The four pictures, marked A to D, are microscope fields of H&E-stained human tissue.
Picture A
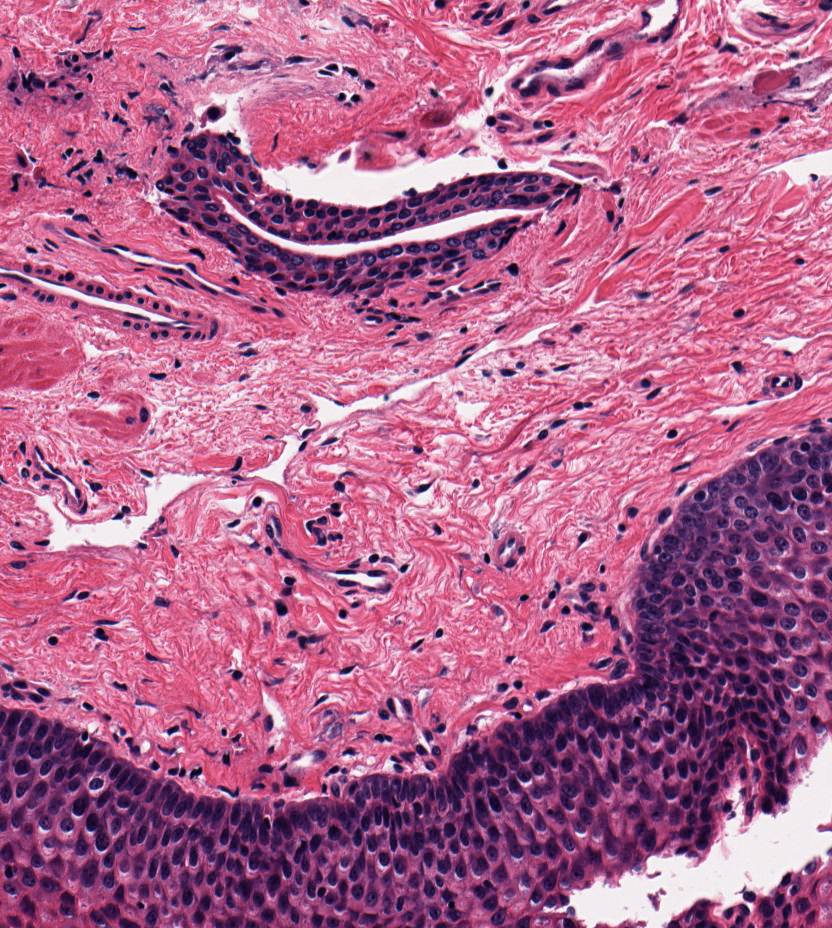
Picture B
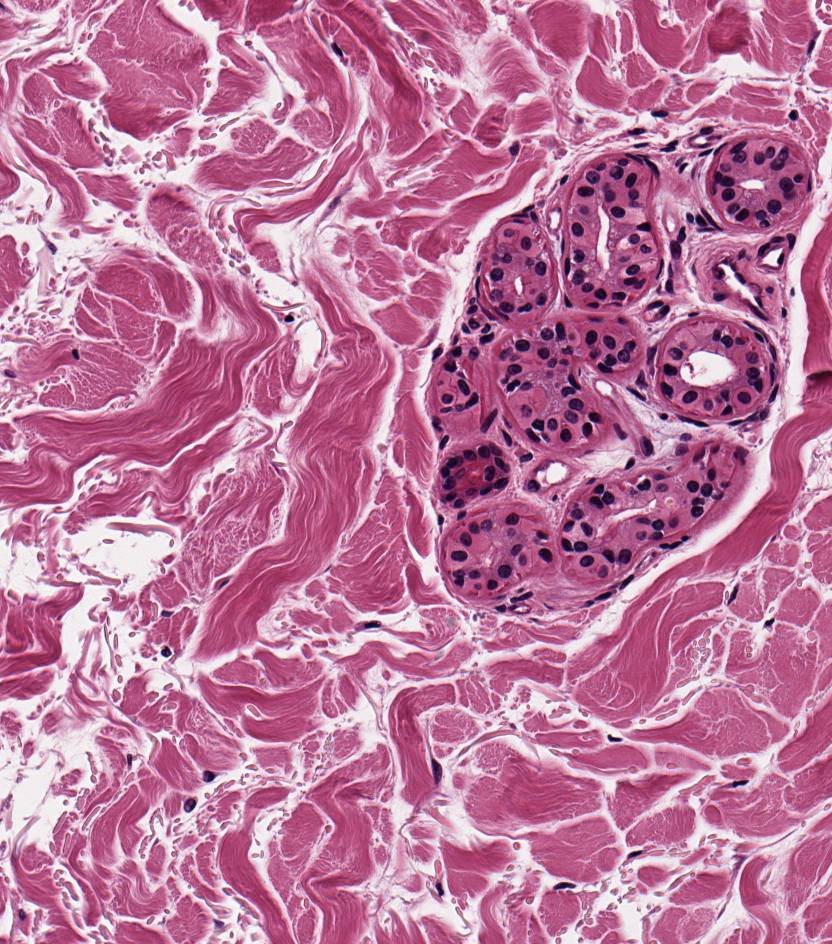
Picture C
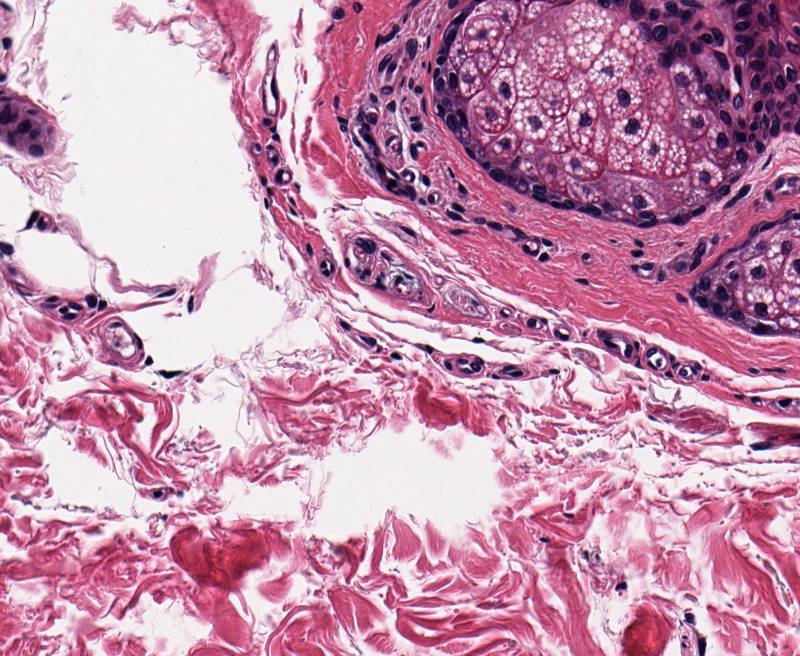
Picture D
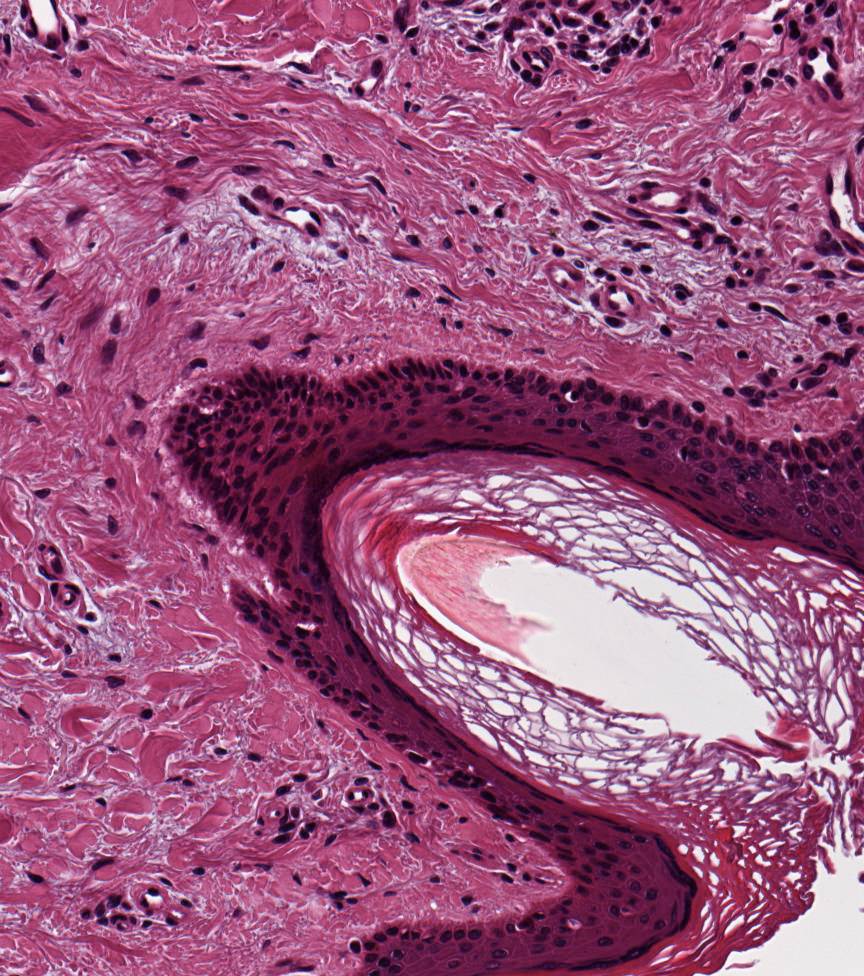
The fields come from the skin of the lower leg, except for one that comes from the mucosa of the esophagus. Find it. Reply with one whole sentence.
The one that comes from the mucosa of the esophagus is picture A.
